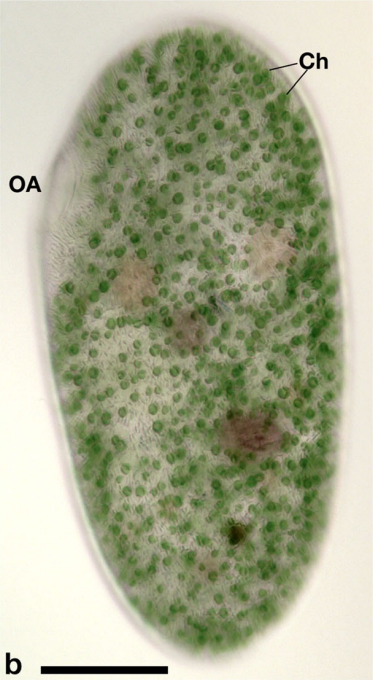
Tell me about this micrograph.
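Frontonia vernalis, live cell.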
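A single large oval cell seen alive, its cytoplasm crowded throughout with many small round green bodies of about equal size, which are endosymbiotic algae of the Chlorella kind. Between them the cytoplasm looks pale and faintly striated, following the rows of the surface. Along the upper left margin a clear region marks the oral aperture. A few larger brownish, diffuse inclusions lie in the middle of the cell among the green bodies.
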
